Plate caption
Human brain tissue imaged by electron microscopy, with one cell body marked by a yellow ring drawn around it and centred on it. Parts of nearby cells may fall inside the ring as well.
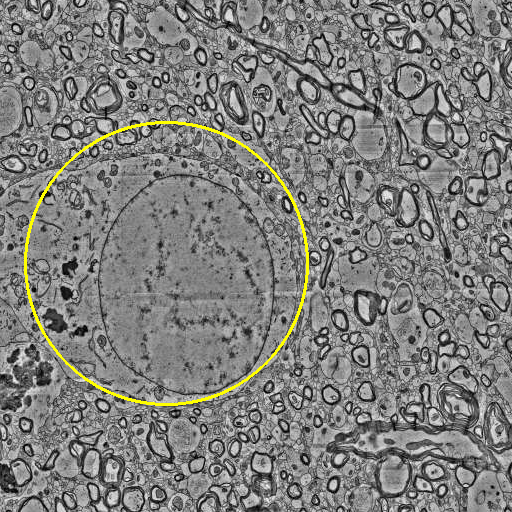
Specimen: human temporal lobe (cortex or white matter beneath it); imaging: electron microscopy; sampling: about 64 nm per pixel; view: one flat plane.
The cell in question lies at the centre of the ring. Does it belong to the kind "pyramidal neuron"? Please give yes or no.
Yes, it belongs to that kind.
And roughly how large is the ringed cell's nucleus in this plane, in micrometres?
The nucleus comes to roughly 14 by 12 micrometres in this plane.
